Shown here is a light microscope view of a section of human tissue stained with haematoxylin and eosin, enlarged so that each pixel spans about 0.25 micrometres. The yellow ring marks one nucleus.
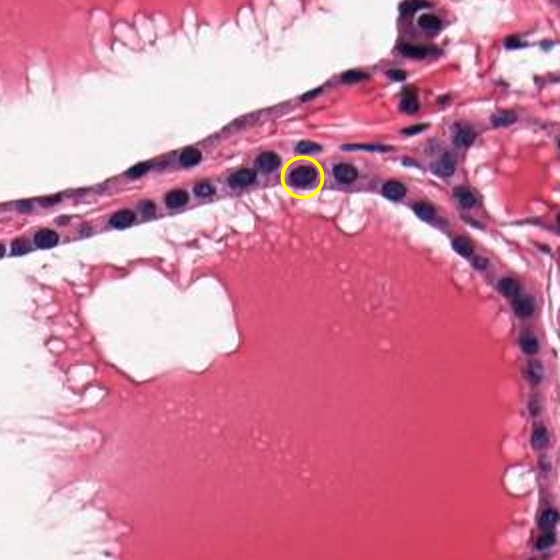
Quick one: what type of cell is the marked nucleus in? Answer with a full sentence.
In the section shown, the marked nucleus belongs to a thyroid follicular cell.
